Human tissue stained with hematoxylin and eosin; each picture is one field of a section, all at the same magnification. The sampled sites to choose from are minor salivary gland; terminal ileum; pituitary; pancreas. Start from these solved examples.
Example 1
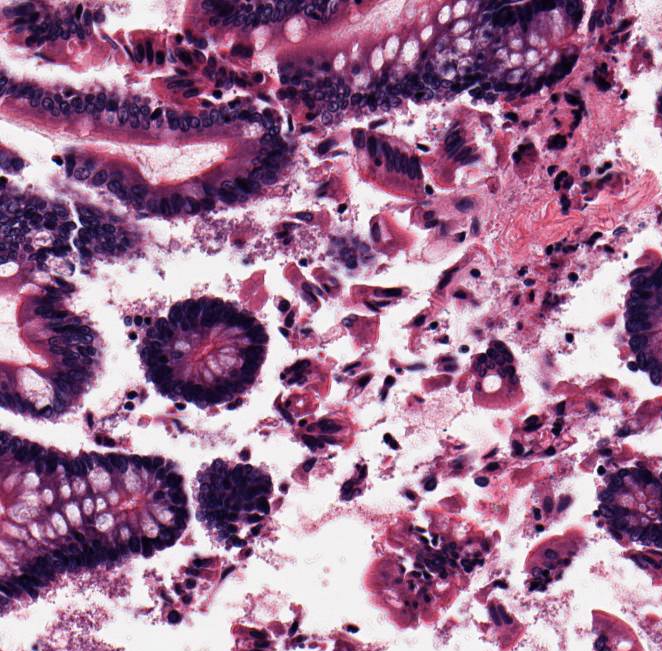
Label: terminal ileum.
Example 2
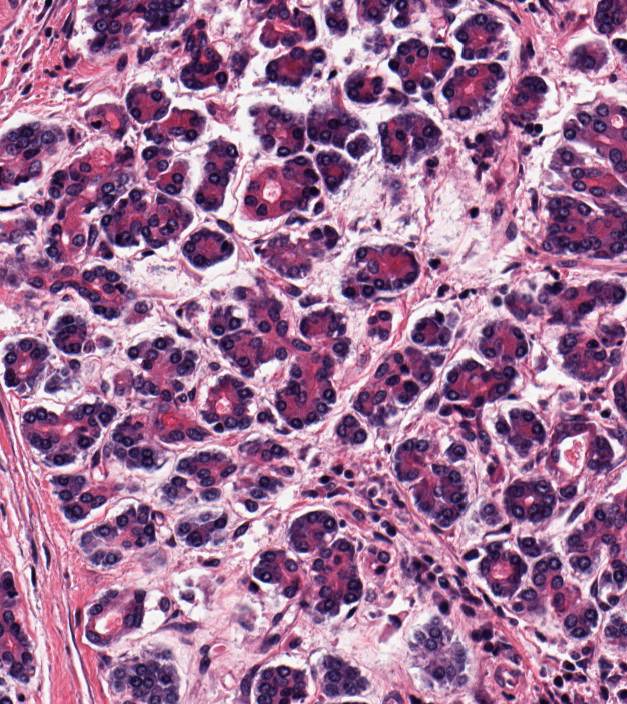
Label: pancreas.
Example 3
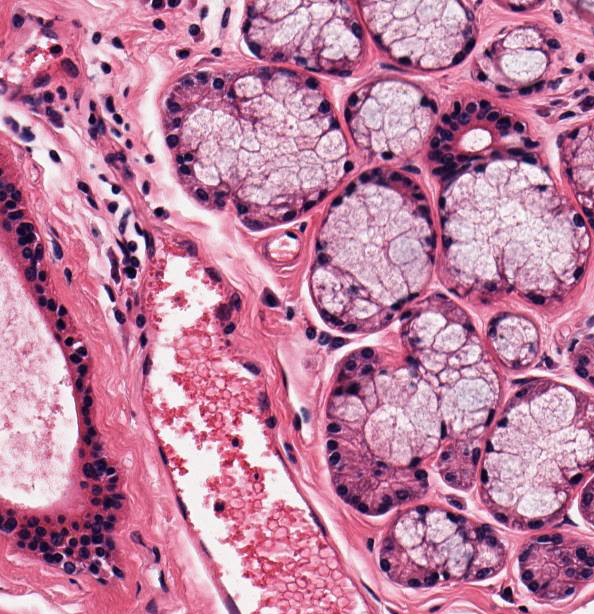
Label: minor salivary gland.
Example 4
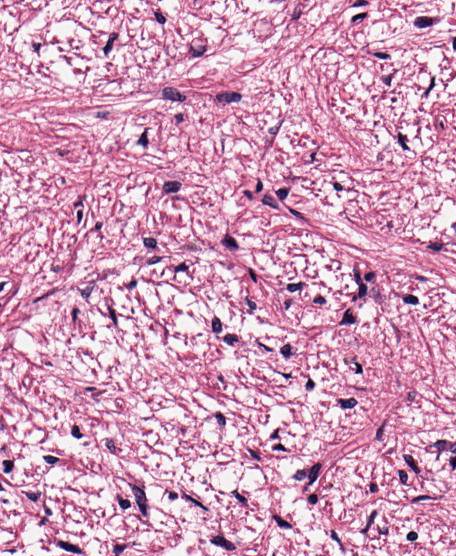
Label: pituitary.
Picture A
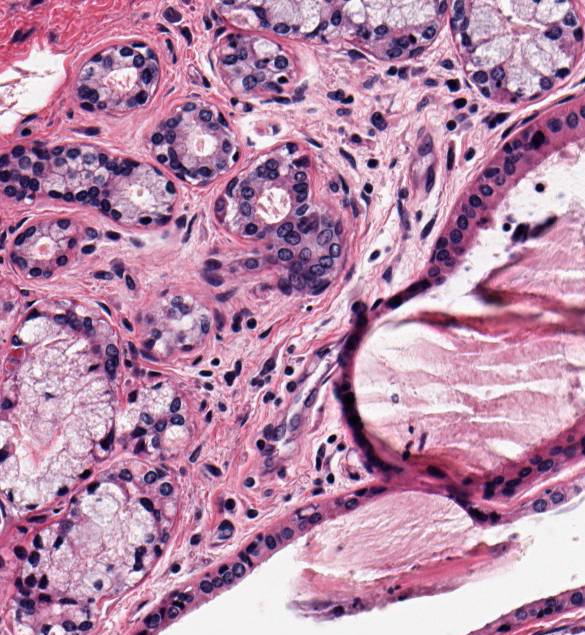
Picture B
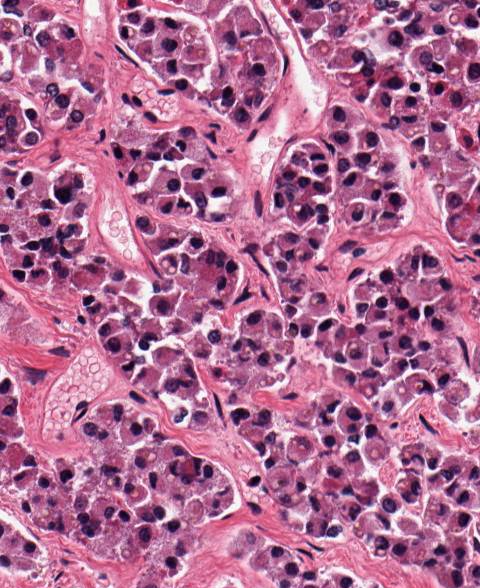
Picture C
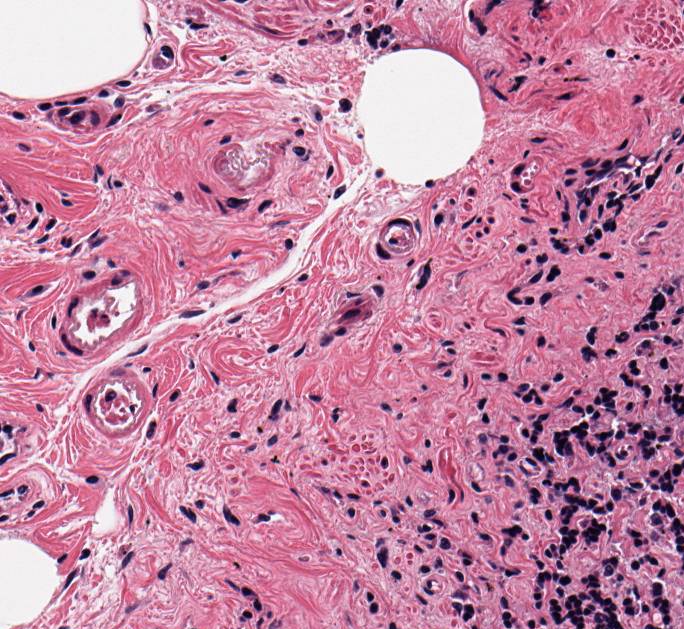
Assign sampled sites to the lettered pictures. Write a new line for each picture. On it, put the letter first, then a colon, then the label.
A: minor salivary gland.
B: pituitary.
C: terminal ileum.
